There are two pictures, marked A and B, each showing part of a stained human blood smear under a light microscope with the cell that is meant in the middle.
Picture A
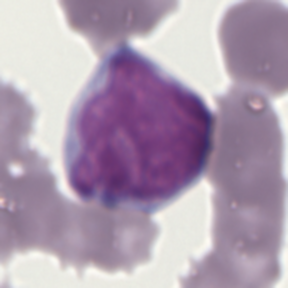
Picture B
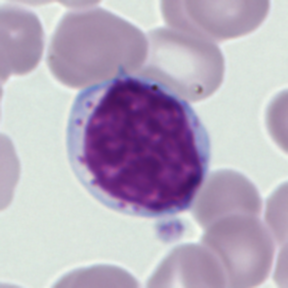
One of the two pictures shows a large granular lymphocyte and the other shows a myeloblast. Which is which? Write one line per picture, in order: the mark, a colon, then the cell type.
A: myeloblast
B: large granular lymphocyte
